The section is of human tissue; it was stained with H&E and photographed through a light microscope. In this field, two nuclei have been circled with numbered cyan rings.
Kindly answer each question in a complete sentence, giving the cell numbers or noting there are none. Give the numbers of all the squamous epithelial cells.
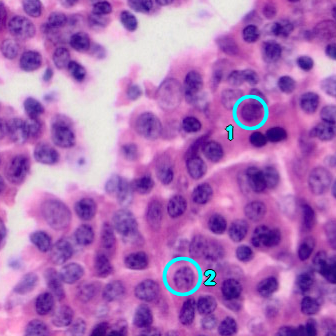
Exactly one numbered cell is a squamous epithelial cell, and that cell is number 1.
